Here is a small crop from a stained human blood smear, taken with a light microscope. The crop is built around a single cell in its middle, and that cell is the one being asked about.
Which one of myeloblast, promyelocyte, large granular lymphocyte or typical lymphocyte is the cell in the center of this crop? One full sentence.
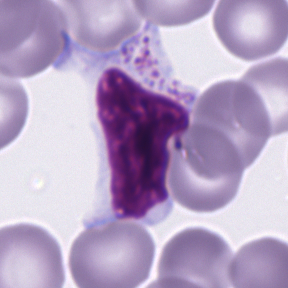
The single cell at the center of the crop is a large granular lymphocyte.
